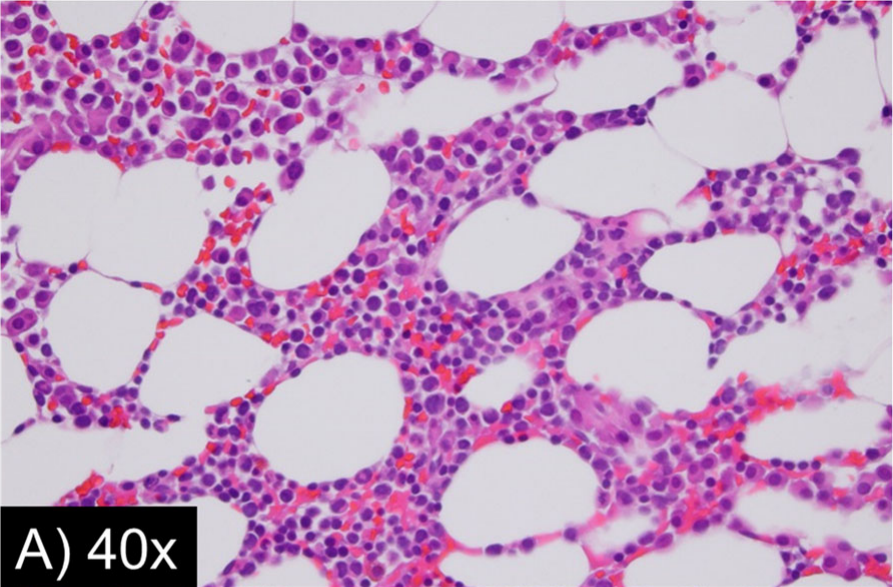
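Bone marrow with many round empty fat spaces separated by dense cords of hematopoietic cells and scattered red blood cells. Two populations can be told apart: larger cells with ample purple cytoplasm and round, often eccentric nuclei, and smaller cells with scant cytoplasm and dark round nuclei packed close together.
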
